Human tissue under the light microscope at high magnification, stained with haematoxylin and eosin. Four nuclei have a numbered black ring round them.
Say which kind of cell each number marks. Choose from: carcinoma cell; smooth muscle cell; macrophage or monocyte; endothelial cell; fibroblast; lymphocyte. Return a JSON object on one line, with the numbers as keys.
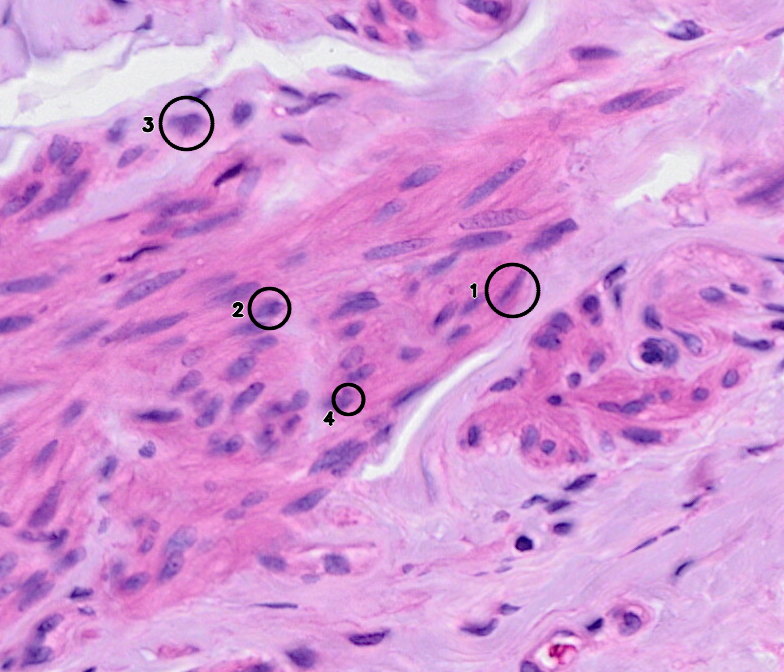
{"1": "smooth muscle cell", "2": "smooth muscle cell", "3": "fibroblast", "4": "smooth muscle cell"}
